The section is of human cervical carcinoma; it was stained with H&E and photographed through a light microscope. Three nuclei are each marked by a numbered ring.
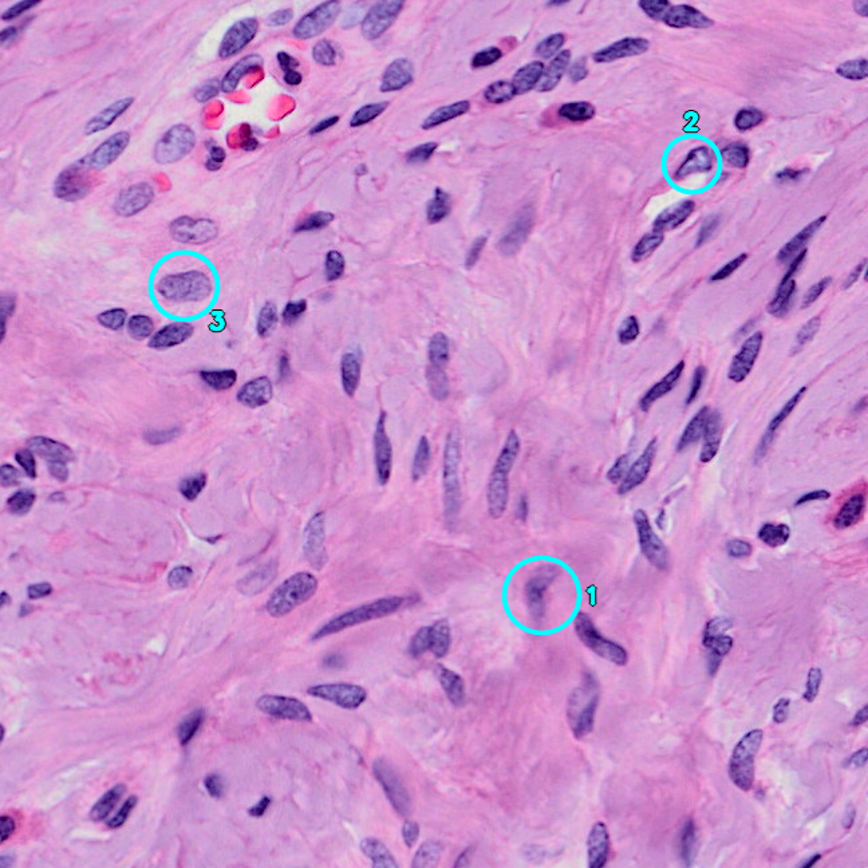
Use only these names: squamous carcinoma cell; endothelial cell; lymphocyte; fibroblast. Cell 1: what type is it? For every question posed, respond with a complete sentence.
The cell referred to as 1 is a fibroblast.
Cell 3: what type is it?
Cell number 3 in this section is a fibroblast.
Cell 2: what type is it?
The expected answer is that cell 2 is an endothelial cell.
